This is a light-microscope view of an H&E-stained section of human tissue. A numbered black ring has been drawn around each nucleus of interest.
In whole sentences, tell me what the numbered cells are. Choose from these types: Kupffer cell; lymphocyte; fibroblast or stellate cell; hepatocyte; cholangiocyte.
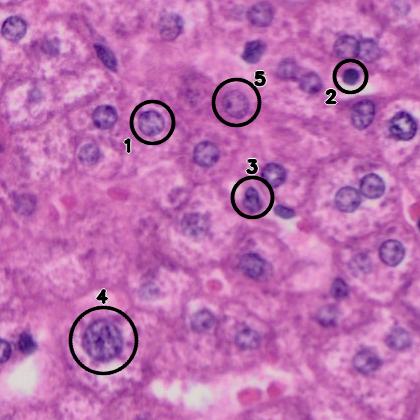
Cell 1 is a hepatocyte, cell 2 is a lymphocyte, cell 3 is a Kupffer cell, cell 4 is a hepatocyte and cell 5 is a hepatocyte.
